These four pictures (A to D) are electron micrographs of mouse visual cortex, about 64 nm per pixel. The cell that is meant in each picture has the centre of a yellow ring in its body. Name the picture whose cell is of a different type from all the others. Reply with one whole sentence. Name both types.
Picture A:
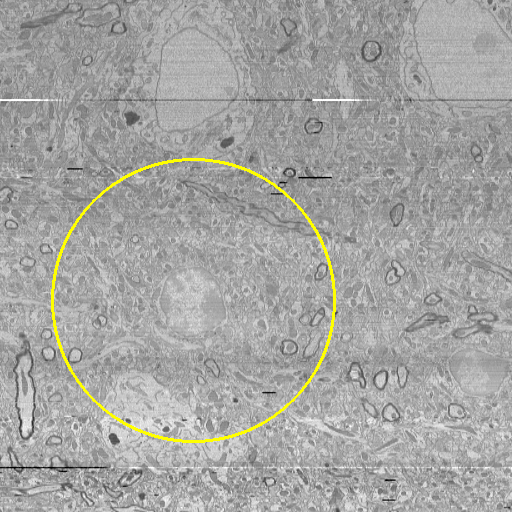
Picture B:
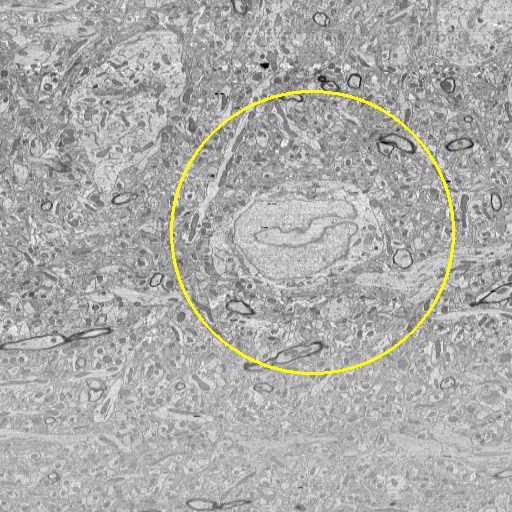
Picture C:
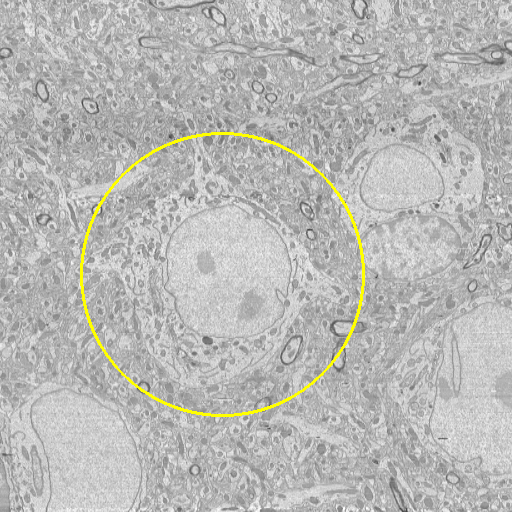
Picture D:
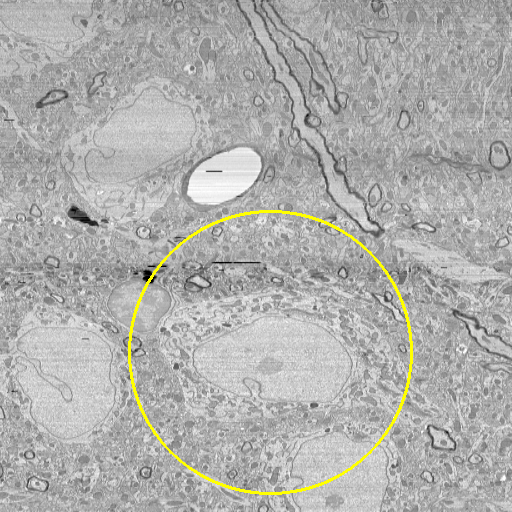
Unlike the rest, which show inhibitory neurons, picture A shows an oligodendrocyte.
